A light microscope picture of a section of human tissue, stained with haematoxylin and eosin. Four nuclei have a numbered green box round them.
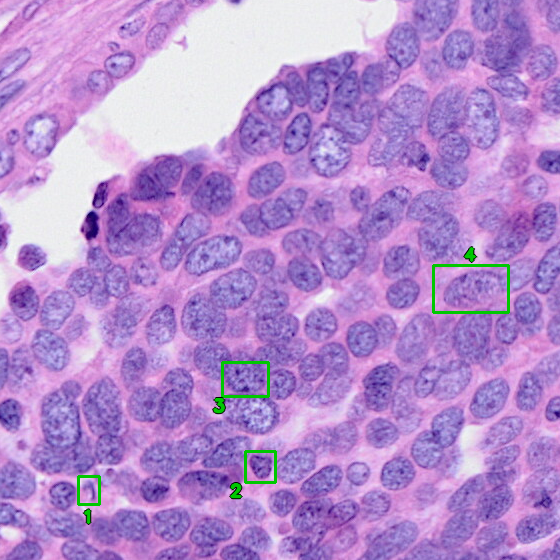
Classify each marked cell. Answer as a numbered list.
1. macrophage or monocyte
2. macrophage or monocyte
3. carcinoma cell
4. carcinoma cell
